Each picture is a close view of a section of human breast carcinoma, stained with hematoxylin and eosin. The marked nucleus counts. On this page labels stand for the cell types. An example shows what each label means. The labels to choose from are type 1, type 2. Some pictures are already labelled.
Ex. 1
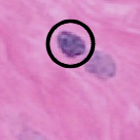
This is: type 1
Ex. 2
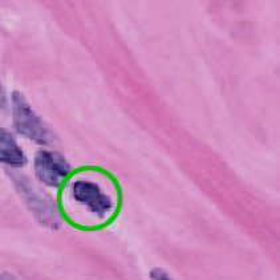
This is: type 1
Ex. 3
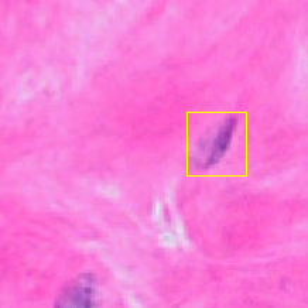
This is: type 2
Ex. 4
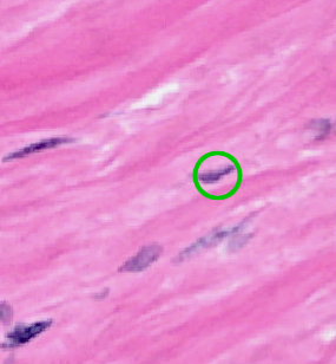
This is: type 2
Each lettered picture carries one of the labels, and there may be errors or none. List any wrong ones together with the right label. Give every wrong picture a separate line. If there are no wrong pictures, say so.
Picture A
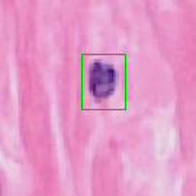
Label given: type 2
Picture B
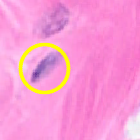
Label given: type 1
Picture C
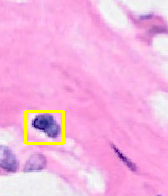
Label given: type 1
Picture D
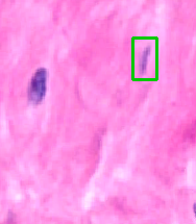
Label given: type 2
A should be type 1, not type 2
B should be type 2, not type 1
